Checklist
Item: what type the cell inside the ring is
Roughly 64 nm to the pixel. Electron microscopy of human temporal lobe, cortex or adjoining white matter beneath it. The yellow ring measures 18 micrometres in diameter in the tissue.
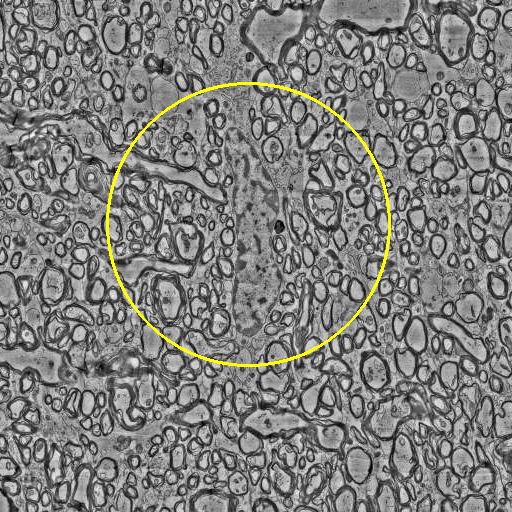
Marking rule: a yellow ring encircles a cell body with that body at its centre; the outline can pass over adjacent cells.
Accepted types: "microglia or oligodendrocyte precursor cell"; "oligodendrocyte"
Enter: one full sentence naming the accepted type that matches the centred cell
The entry is that a microglial cell or oligodendrocyte precursor cell lies at the centre of the yellow ring.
